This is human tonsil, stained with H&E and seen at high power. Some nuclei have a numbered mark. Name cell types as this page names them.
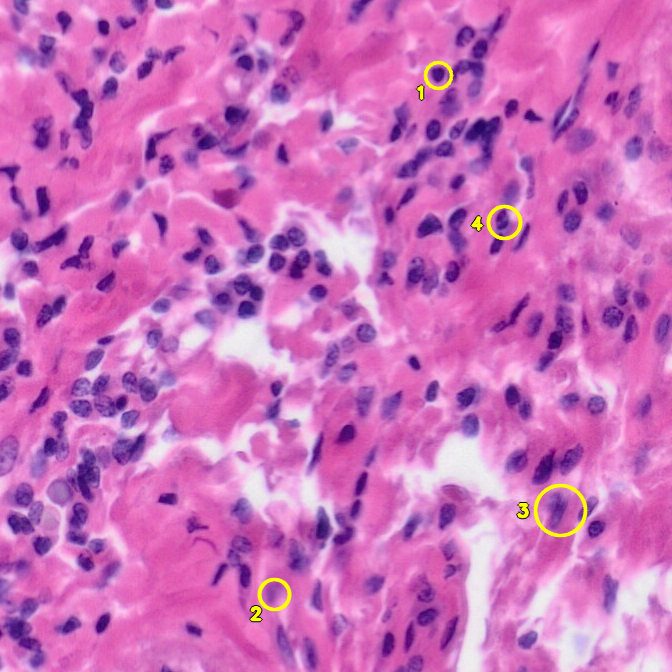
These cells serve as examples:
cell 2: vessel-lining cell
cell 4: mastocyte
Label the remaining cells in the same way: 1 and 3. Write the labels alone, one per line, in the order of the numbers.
mastocyte
vessel-lining cell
